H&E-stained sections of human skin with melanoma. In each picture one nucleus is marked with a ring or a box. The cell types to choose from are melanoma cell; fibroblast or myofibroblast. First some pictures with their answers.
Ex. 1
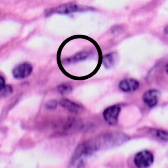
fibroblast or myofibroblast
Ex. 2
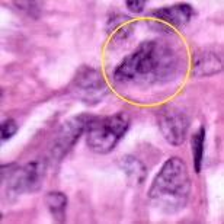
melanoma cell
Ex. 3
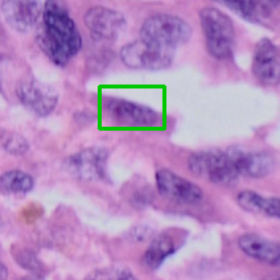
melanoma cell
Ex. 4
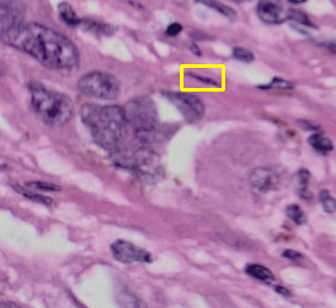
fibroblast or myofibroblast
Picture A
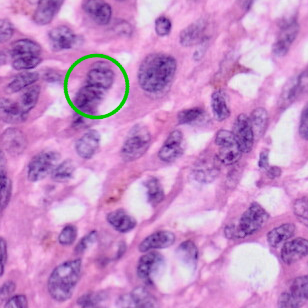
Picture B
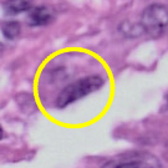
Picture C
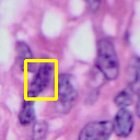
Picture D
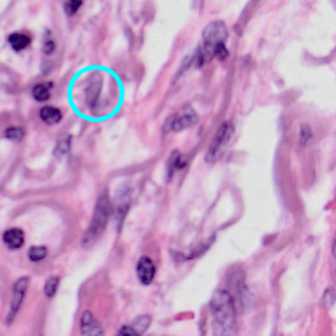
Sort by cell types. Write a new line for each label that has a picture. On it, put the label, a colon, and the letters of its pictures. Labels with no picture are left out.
melanoma cell: A, B, C
fibroblast or myofibroblast: D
